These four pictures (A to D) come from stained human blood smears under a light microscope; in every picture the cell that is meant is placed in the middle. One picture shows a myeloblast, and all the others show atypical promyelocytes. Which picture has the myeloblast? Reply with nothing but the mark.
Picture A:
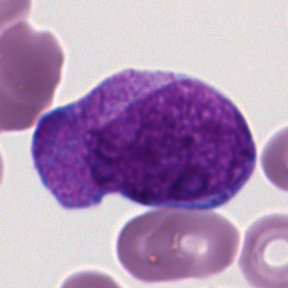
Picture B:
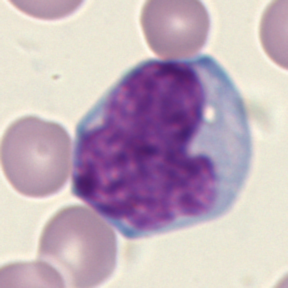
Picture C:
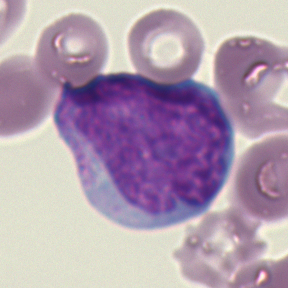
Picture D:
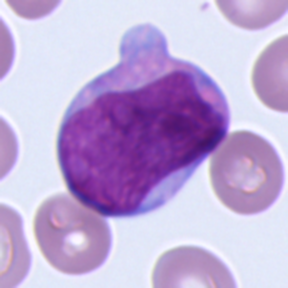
B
